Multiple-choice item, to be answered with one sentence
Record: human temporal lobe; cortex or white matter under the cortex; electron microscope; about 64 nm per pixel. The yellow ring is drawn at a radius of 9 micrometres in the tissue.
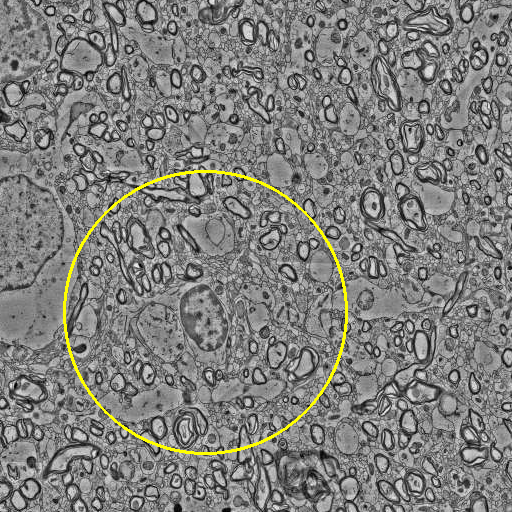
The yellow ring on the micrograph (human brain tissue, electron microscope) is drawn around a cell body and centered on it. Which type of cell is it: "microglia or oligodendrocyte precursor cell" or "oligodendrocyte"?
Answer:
The ring is centered on a microglial cell or oligodendrocyte precursor cell.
